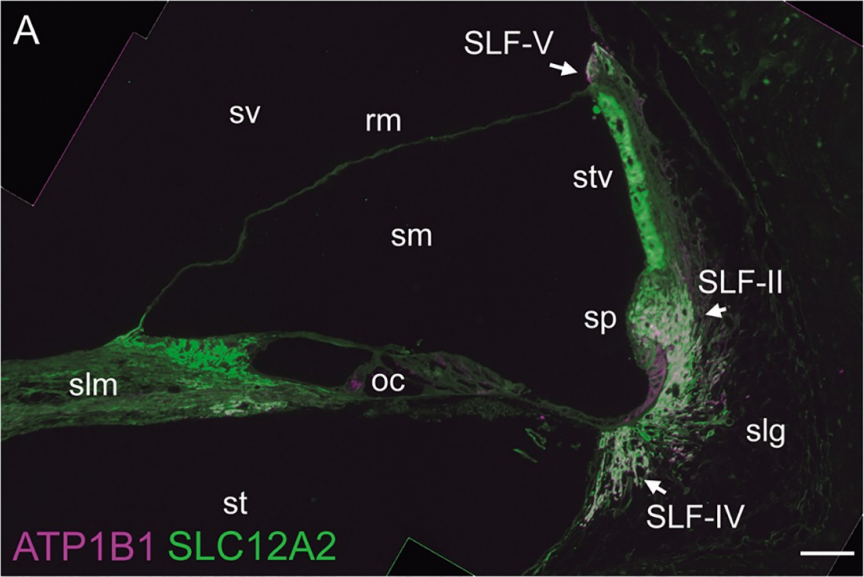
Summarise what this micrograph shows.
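Cross-section of the cochlear duct of the cochlea. A thin Reissner's membrane separates the scala vestibuli from the scala media, and the organ of Corti and the spiral limbus lie on the floor of the scala media above the scala tympani. Along the lateral wall, the stria vascularis forms a bright green band. Below it, the spiral prominence and the fibrocytes of the underlying spiral ligament show overlapping green and magenta, which appears whitish, while the outer spiral ligament is only faintly stained.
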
